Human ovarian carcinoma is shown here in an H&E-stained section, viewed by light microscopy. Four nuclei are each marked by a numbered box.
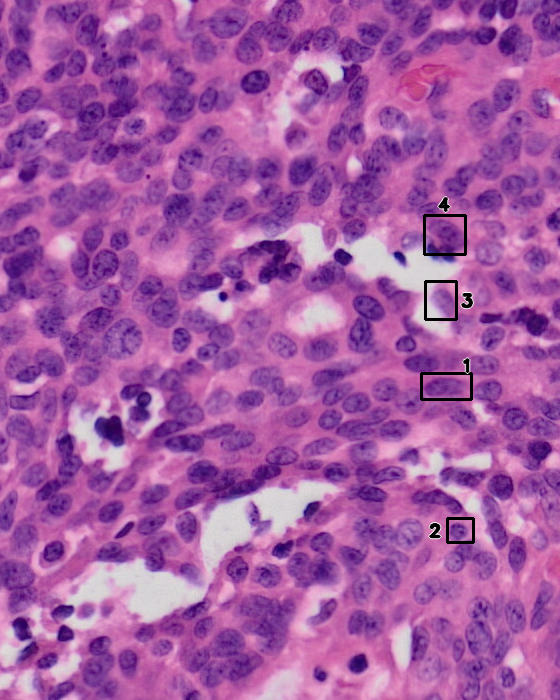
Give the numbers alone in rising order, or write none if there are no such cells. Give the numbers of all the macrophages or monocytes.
2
